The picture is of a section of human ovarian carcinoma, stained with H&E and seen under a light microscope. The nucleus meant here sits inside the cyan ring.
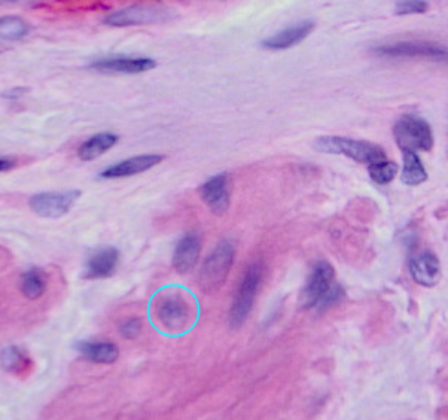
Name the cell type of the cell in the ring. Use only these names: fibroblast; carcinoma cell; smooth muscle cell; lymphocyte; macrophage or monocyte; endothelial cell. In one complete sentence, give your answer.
So far as cell type goes, the cell in the ring is a smooth muscle cell.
